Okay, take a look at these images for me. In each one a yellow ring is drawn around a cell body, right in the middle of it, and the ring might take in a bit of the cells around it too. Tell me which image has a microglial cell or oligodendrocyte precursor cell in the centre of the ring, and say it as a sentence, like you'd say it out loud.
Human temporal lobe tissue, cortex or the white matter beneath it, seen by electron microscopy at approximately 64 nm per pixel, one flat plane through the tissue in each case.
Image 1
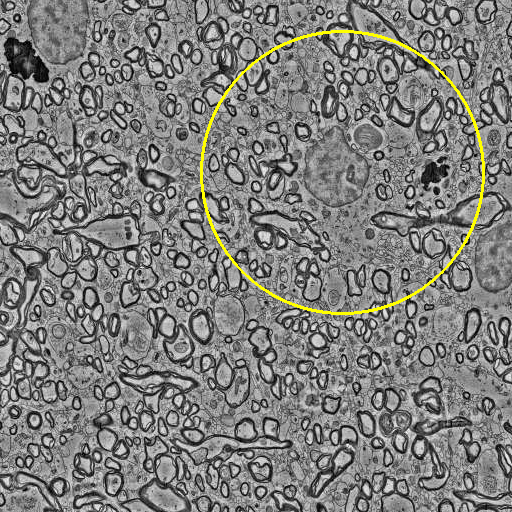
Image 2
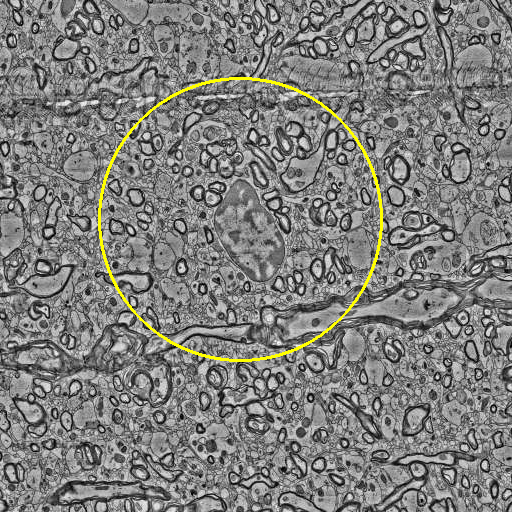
Image 2 is the one with it in the centre of the ring.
